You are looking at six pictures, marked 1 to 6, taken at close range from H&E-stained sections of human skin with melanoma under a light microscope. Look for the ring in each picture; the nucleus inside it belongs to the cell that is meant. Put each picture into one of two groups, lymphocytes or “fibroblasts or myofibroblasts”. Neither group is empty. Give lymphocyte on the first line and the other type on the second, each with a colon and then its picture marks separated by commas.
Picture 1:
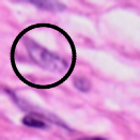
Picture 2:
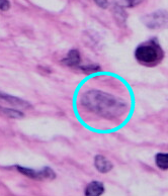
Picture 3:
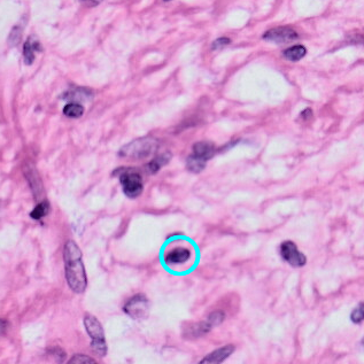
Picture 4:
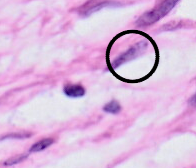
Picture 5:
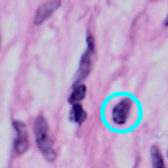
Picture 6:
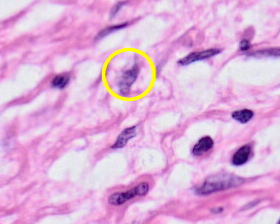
lymphocyte: 3, 5
fibroblast or myofibroblast: 1, 2, 4, 6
